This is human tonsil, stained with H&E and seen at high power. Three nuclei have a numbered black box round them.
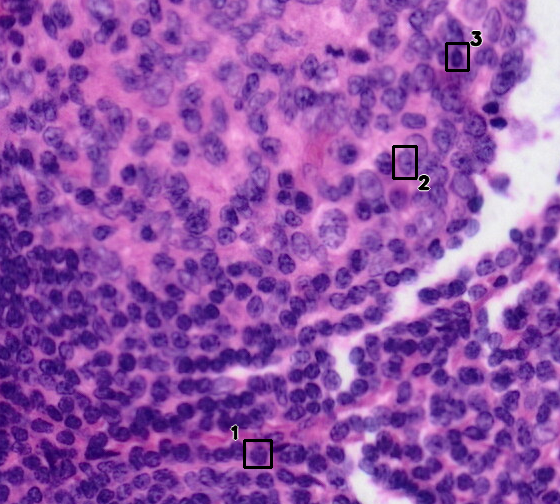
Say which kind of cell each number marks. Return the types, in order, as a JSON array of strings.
["small lymphocyte", "proliferating B cell", "proliferating B cell"]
